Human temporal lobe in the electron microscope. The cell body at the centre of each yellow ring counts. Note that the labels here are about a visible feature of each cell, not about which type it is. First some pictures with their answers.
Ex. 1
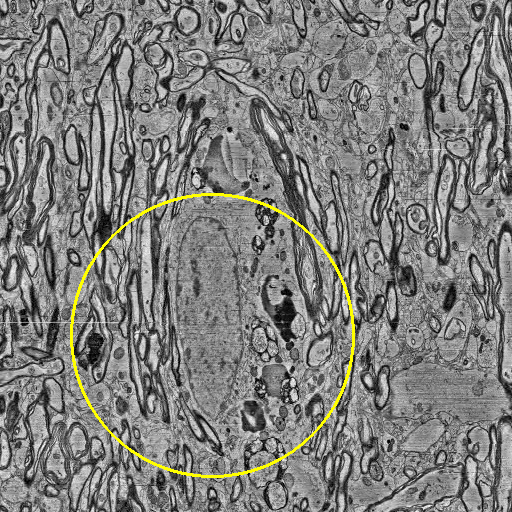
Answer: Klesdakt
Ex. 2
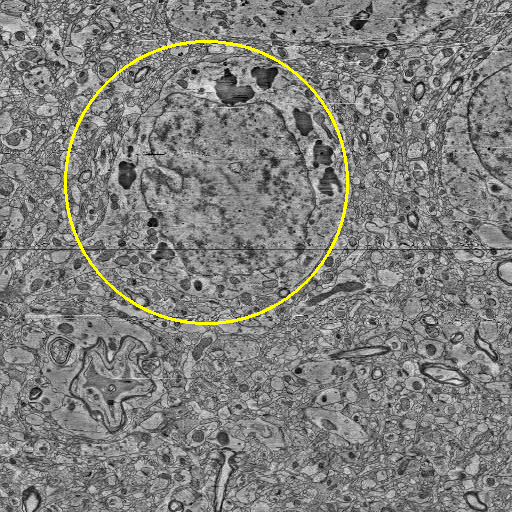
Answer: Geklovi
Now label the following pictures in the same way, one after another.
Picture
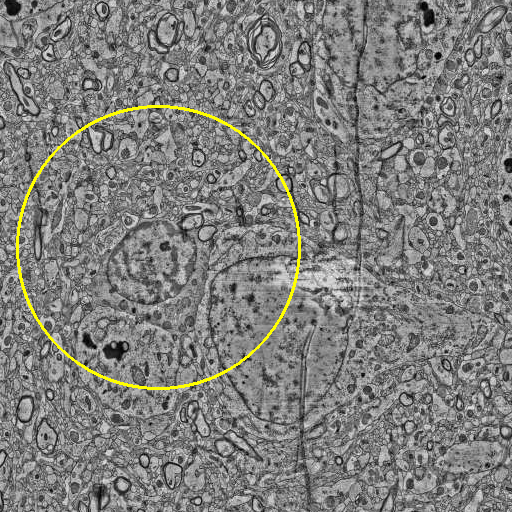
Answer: Geklovi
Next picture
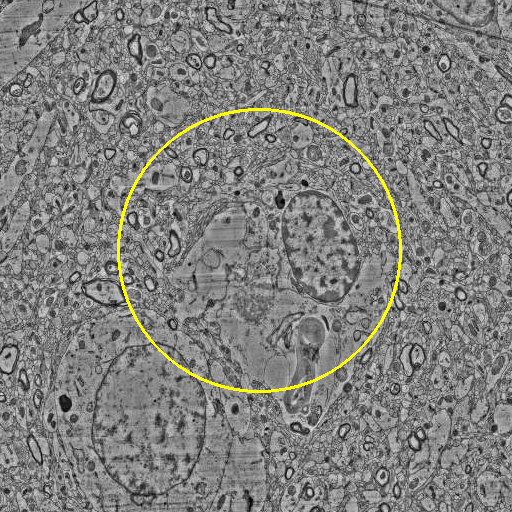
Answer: Klesdakt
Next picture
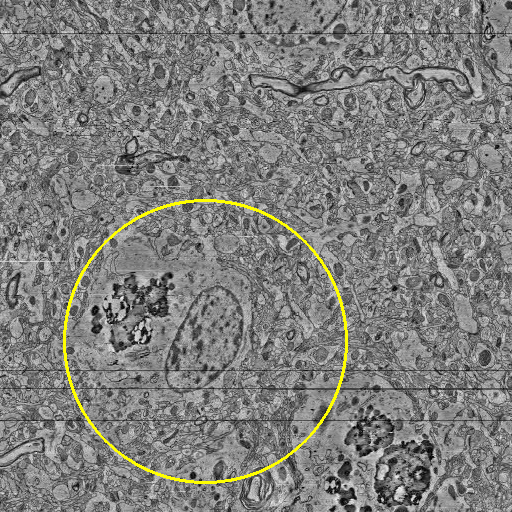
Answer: Klesdakt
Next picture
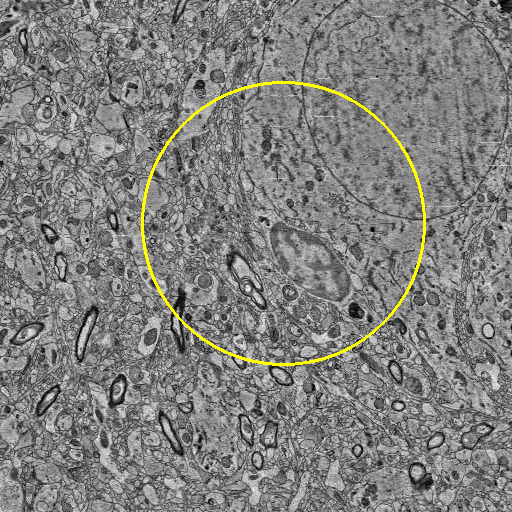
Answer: Klesdakt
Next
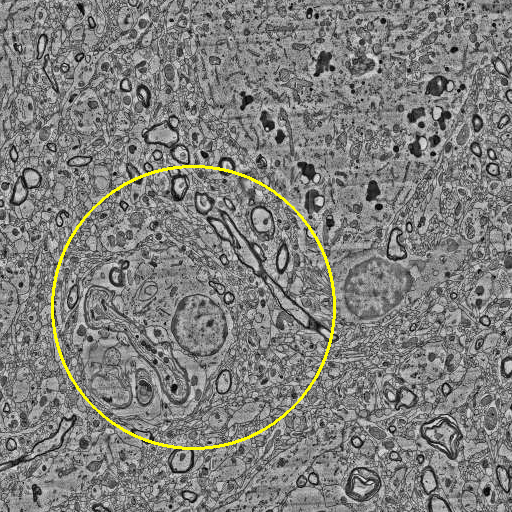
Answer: Geklovi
